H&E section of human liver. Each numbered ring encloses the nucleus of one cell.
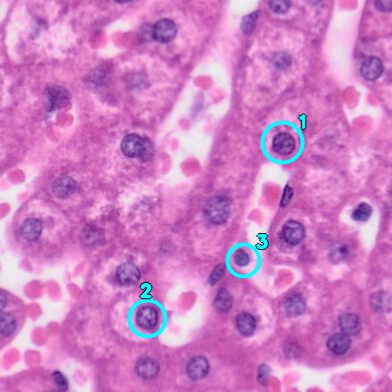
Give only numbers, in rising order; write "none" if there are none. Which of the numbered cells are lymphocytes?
3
